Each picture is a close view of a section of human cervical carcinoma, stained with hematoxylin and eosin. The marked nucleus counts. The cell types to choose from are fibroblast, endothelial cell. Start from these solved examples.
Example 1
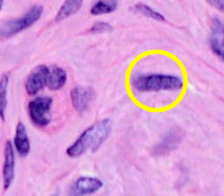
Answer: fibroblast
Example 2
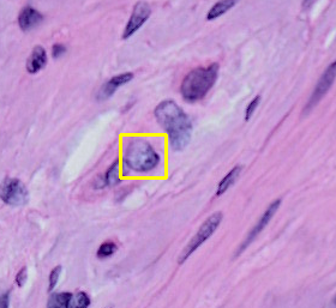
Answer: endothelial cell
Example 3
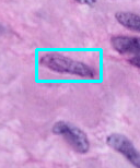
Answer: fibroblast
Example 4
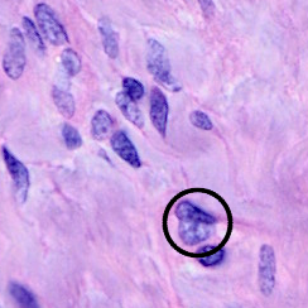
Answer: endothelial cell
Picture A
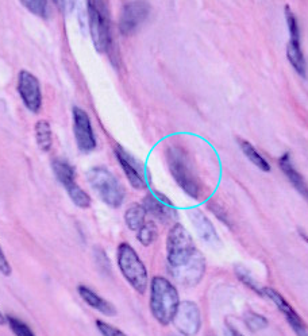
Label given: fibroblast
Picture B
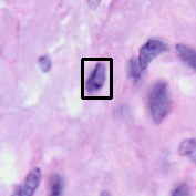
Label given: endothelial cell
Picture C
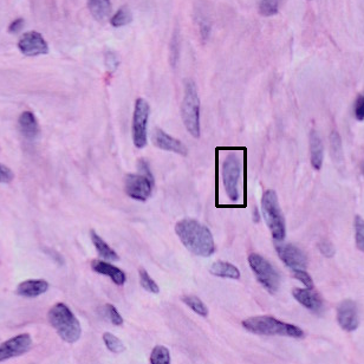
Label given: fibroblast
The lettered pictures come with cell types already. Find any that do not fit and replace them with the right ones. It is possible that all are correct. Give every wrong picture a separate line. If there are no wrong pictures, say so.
A: not fibroblast but endothelial cell
B: not endothelial cell but fibroblast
